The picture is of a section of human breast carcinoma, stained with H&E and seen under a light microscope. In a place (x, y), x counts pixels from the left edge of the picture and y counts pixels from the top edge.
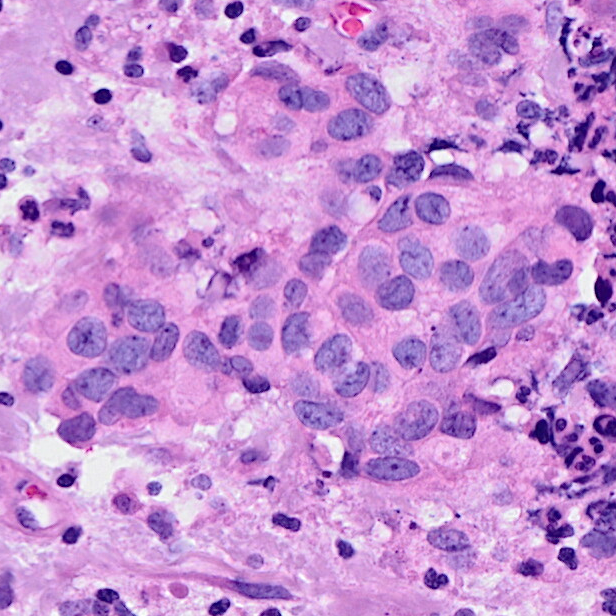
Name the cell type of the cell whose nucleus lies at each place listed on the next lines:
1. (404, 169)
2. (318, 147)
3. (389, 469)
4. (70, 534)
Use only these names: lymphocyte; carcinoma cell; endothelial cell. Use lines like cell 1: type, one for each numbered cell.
cell 1: carcinoma cell
cell 2: carcinoma cell
cell 3: carcinoma cell
cell 4: lymphocyte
